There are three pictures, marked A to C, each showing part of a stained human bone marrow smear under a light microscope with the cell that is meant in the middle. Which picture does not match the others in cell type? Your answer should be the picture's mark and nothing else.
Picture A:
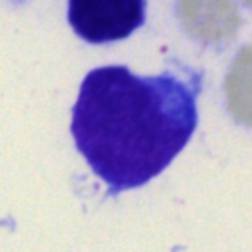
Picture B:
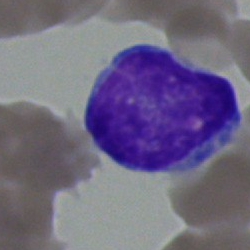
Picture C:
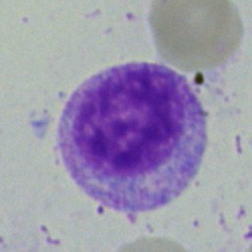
C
